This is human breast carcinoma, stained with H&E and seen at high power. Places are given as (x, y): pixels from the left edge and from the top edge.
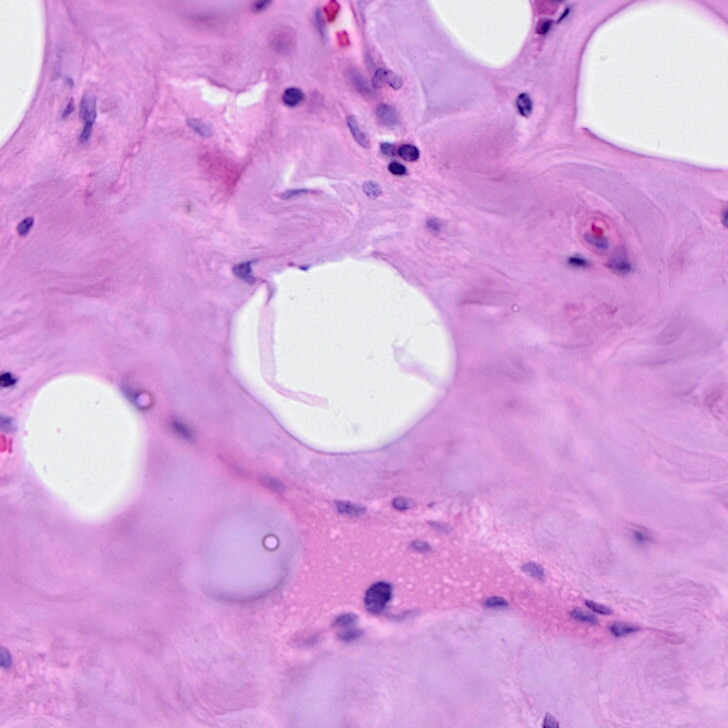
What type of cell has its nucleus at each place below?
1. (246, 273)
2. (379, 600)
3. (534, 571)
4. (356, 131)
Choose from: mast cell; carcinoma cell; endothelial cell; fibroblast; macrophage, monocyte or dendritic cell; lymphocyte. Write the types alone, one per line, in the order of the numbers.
fibroblast
carcinoma cell
fibroblast
fibroblast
